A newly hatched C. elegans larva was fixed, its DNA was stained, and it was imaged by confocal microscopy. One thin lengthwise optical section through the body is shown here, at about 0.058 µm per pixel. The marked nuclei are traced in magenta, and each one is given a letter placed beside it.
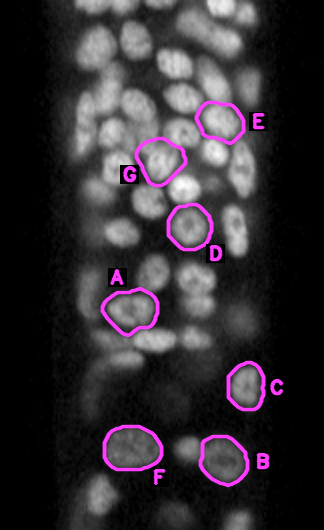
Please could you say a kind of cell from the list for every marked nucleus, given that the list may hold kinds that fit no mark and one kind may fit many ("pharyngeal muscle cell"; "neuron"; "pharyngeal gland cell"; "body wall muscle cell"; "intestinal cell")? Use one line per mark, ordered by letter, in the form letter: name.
A: pharyngeal gland cell
B: intestinal cell
C: body wall muscle cell
D: pharyngeal muscle cell
E: neuron
F: intestinal cell
G: pharyngeal muscle cell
